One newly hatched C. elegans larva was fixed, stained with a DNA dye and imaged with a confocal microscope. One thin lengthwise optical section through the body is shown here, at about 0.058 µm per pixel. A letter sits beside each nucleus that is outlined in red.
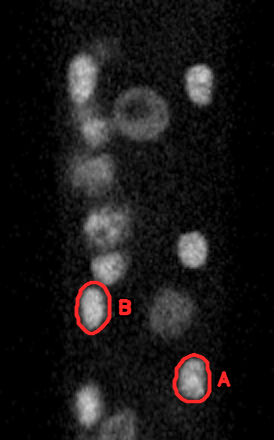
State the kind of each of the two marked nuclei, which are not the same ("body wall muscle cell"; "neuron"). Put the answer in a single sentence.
B belongs to a neuron, and A to a body wall muscle cell.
